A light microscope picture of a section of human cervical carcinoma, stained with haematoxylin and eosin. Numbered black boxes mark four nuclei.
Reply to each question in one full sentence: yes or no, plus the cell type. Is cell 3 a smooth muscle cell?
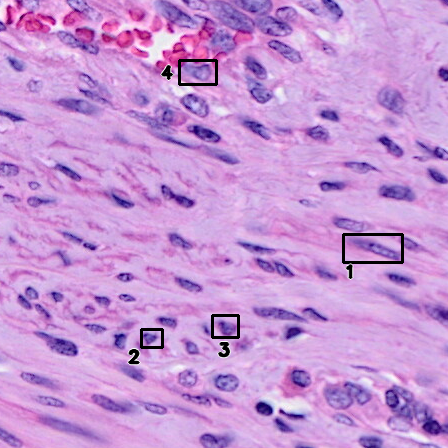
Yes, to put it simply, cell number 3 is a smooth muscle cell.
